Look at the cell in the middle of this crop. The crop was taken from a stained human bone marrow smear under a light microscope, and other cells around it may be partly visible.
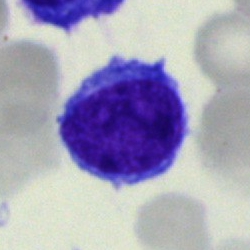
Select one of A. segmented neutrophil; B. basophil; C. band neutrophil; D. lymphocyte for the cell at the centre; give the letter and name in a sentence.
The cell at the heart of the crop is a lymphocyte, so choose option D.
